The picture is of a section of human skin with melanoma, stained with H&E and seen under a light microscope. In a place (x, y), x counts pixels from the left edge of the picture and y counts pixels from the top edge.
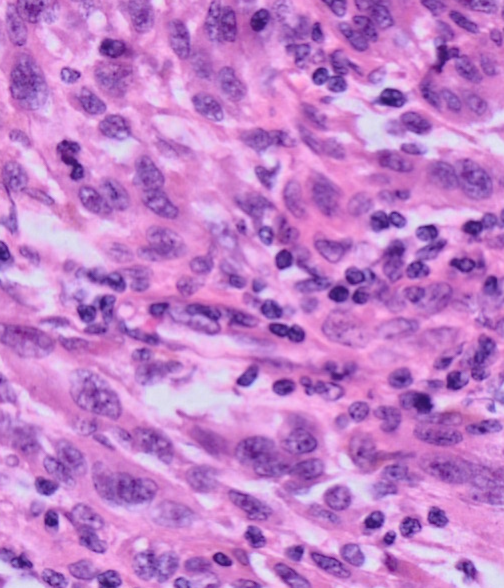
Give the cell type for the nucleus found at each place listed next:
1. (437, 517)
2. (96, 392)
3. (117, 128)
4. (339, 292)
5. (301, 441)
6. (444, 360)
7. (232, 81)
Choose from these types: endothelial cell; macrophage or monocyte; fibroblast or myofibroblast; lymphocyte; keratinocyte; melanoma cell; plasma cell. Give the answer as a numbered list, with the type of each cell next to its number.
1. lymphocyte
2. melanoma cell
3. melanoma cell
4. lymphocyte
5. melanoma cell
6. lymphocyte
7. melanoma cell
